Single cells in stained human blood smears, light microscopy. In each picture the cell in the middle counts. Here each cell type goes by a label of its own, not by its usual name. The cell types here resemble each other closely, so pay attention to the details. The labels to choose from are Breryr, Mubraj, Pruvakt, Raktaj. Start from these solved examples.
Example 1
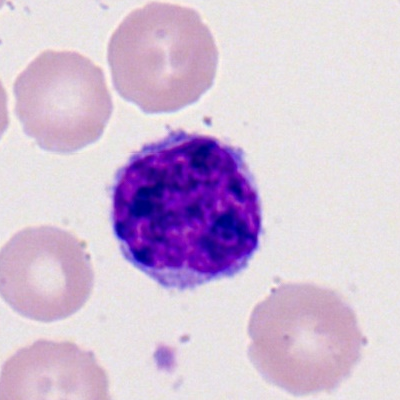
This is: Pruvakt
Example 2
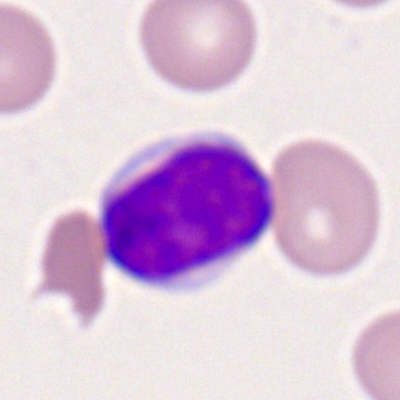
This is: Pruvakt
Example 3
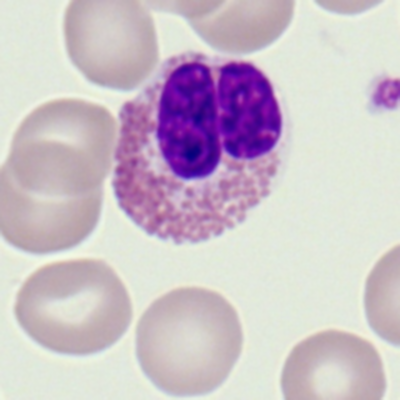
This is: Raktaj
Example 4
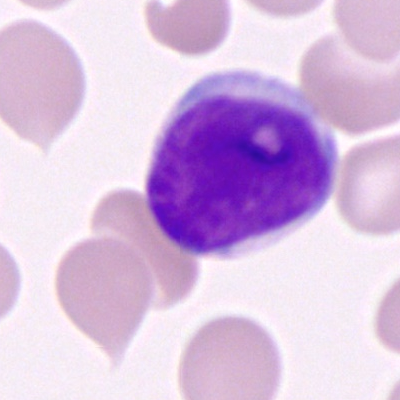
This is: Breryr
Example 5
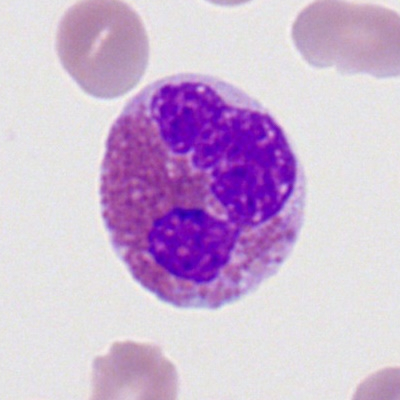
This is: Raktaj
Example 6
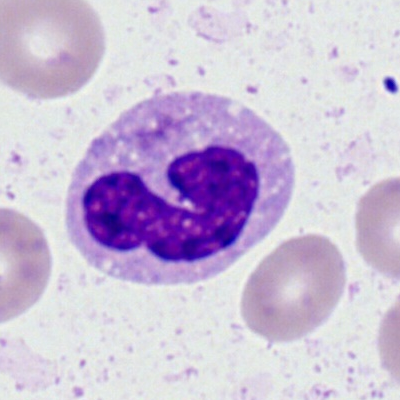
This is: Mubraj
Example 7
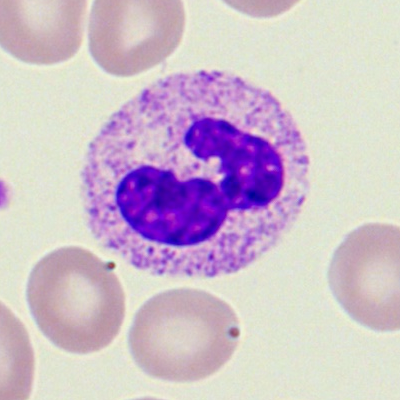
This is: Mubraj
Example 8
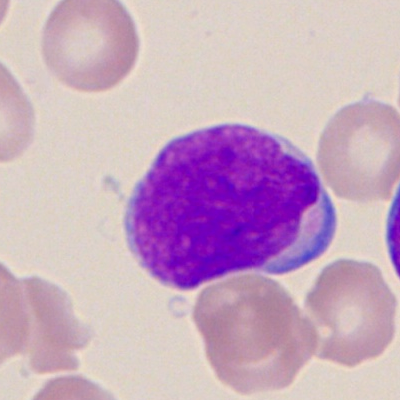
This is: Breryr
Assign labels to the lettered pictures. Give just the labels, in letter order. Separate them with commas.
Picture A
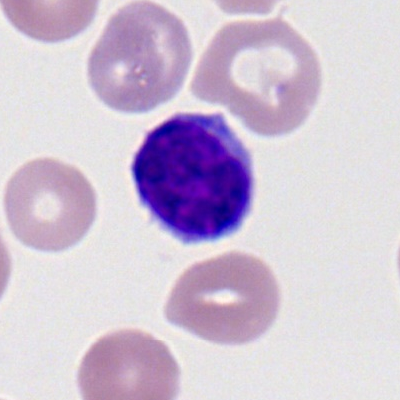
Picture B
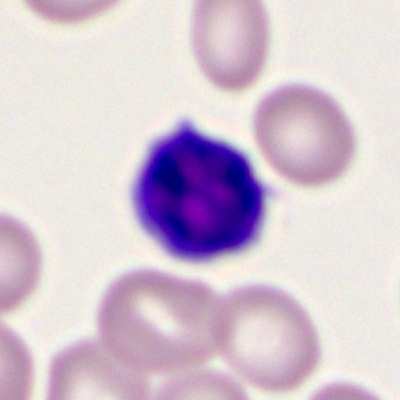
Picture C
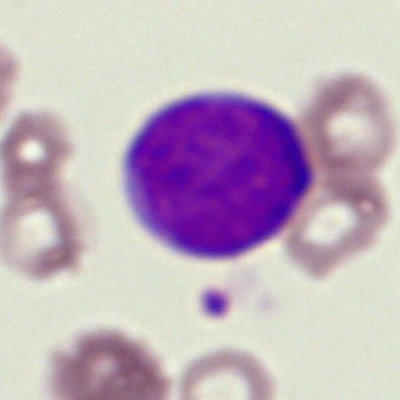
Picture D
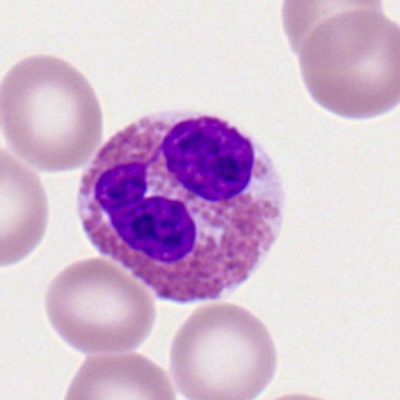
Pruvakt, Pruvakt, Breryr, Raktaj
